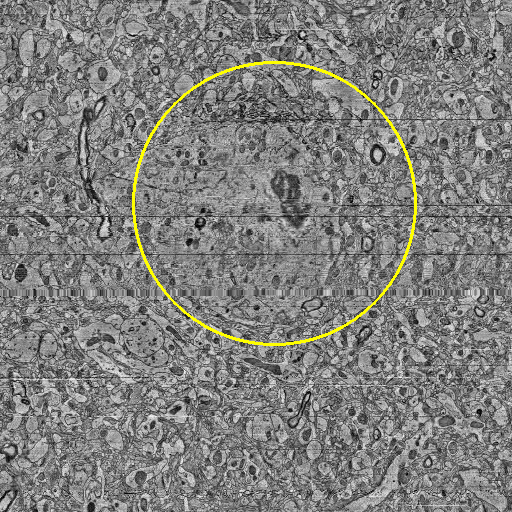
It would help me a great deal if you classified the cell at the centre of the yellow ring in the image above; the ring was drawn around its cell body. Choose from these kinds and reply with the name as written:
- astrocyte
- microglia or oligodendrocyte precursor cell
microglia or oligodendrocyte precursor cell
